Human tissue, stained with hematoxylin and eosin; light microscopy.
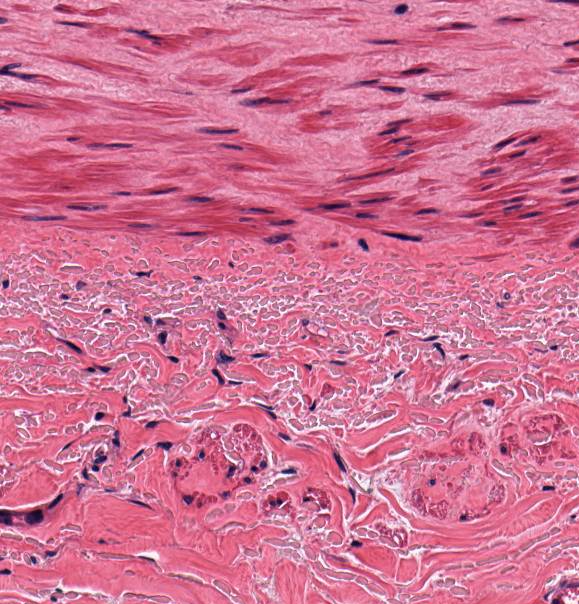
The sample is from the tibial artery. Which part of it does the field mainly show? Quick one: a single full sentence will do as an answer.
This section of human tissue shows the part called tunica adventitia.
